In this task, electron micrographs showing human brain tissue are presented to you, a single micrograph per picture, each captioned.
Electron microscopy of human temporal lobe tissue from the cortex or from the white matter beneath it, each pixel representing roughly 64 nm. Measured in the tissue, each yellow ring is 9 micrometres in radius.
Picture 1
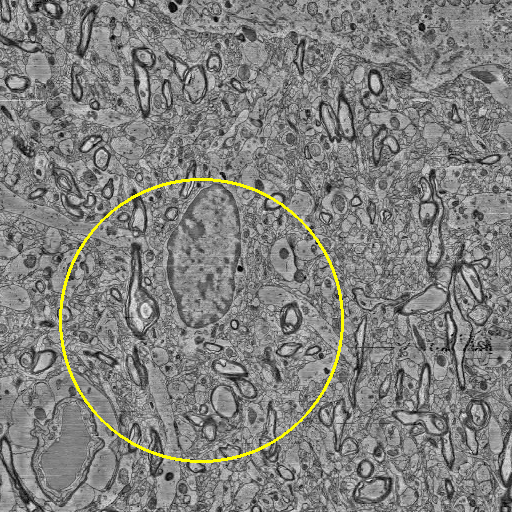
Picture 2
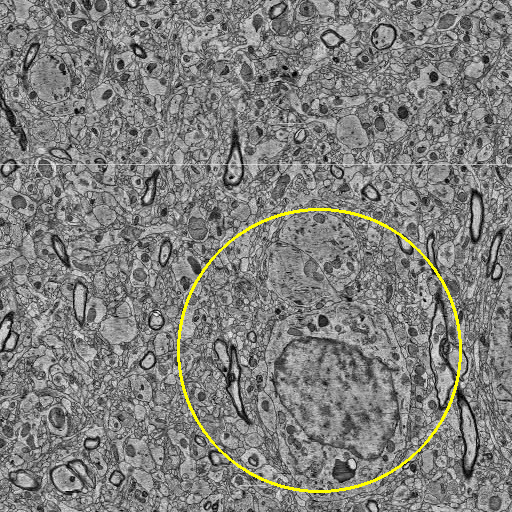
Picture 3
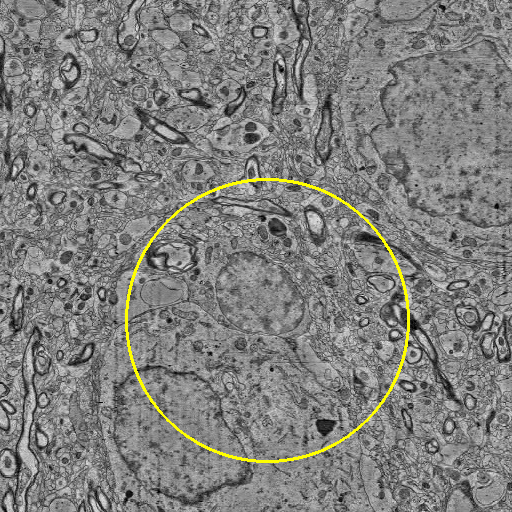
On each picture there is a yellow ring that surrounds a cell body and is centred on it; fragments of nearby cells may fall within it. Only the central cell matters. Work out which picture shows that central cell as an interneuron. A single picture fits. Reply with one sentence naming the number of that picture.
Of all the pictures, number 2 has the right cell in the centre of its ring.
